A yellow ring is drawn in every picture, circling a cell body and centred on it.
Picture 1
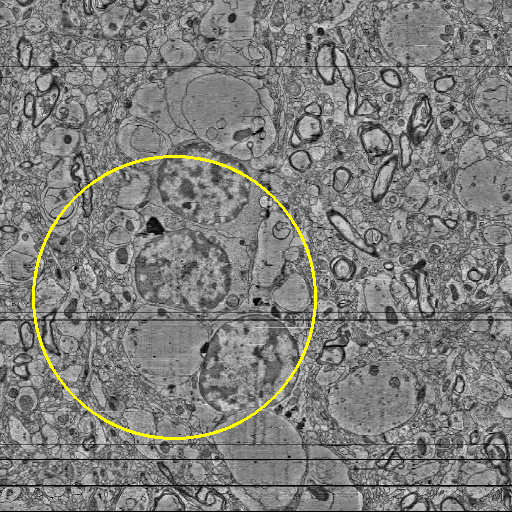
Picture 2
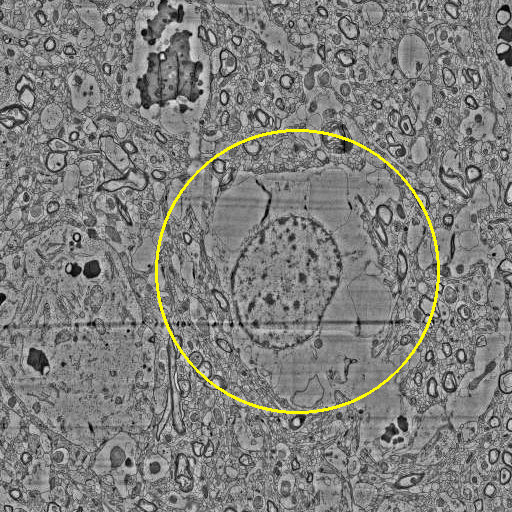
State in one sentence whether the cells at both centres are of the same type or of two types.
The cells at the two ring centres, one per picture, are of two types.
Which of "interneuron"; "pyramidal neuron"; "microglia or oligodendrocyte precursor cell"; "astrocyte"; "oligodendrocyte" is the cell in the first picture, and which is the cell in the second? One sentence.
The two differ: the first cell is an oligodendrocyte and the second is an astrocyte.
